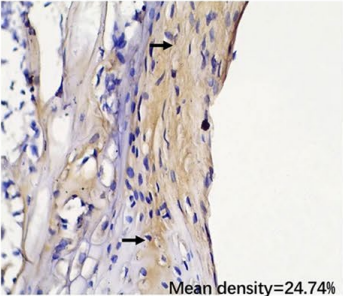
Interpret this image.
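A central band of elongated cells with small oval or flattened blue nuclei shows a diffuse brown stain in the cytoplasm and surrounding matrix. To the left, looser tissue contains pale spaces and scattered blue nuclei, with a narrow streak of blue-stained cells running lengthwise. The right side of the tissue ends at a smooth border facing an empty, unstained space. The cells are arranged in parallel with the long axis of the tissue.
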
